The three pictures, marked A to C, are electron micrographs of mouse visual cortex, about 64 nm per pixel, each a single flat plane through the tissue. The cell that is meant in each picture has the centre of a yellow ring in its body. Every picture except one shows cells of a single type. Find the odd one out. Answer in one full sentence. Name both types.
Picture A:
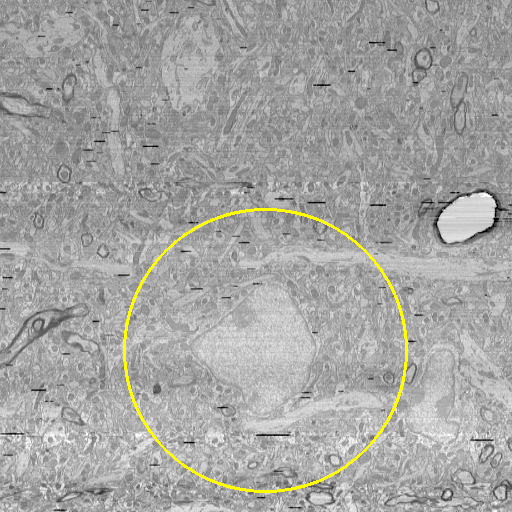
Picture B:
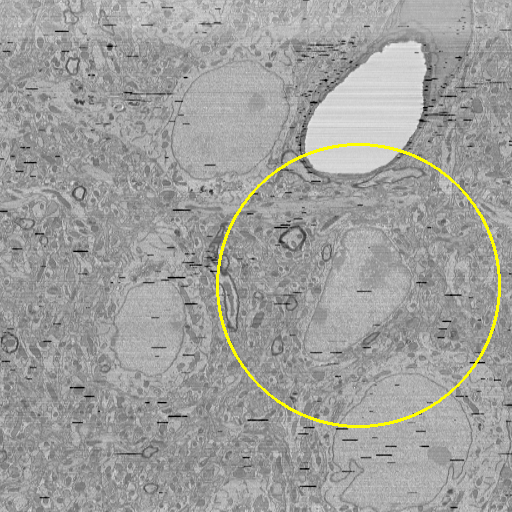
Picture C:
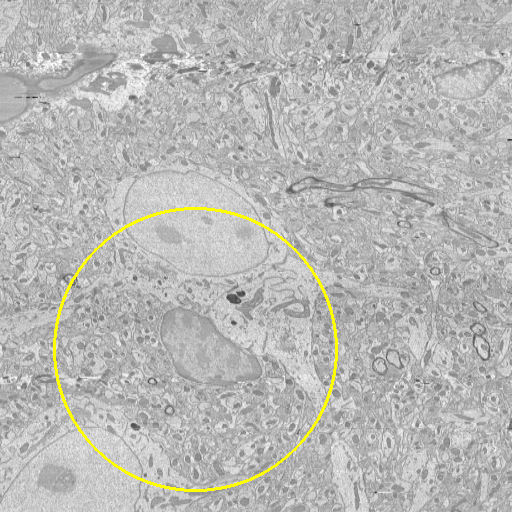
Unlike the rest, which show astrocytes, picture C shows a microglial cell.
